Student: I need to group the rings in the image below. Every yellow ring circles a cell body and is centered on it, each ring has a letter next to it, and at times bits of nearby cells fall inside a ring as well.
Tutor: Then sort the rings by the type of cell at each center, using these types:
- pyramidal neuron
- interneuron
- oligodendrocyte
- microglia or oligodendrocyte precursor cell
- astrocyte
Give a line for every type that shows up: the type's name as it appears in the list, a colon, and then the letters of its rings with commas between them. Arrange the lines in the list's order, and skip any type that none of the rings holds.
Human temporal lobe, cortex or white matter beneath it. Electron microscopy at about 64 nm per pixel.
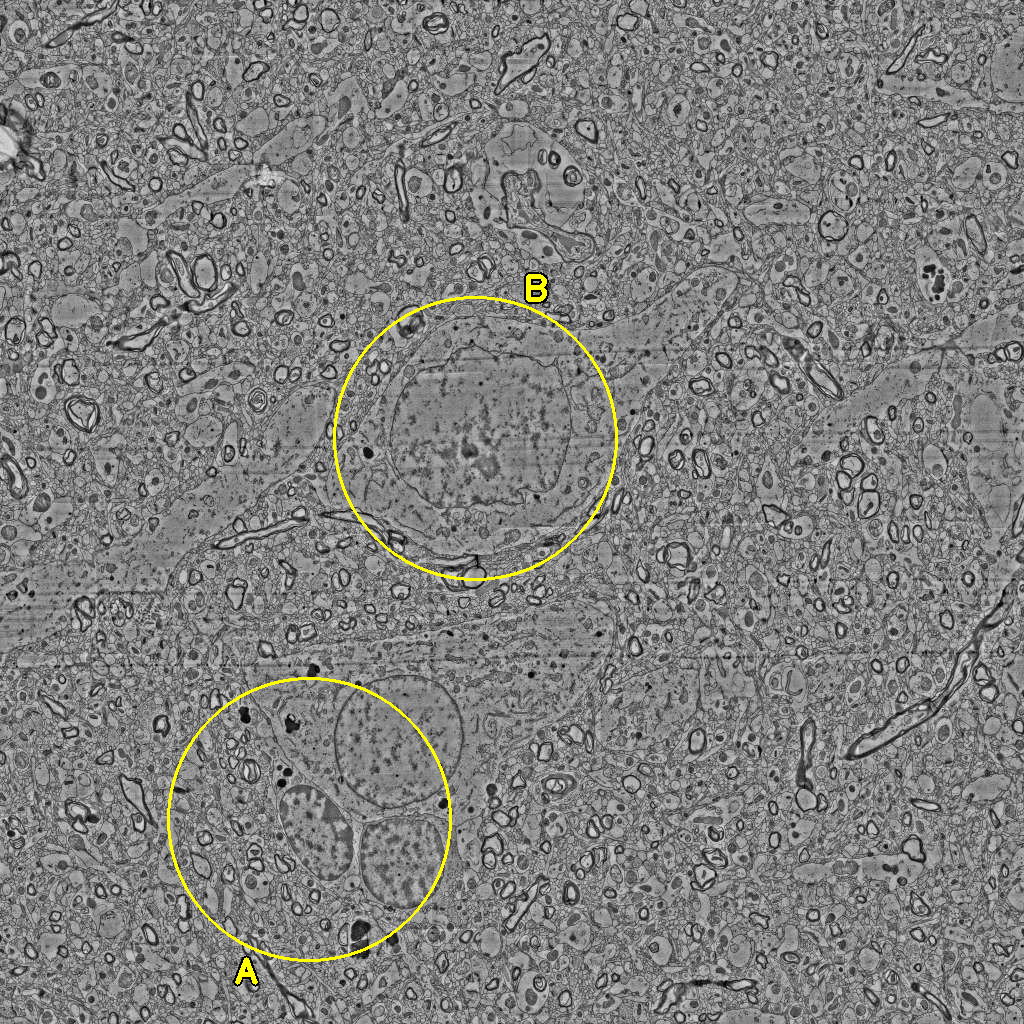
pyramidal neuron: B
microglia or oligodendrocyte precursor cell: A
